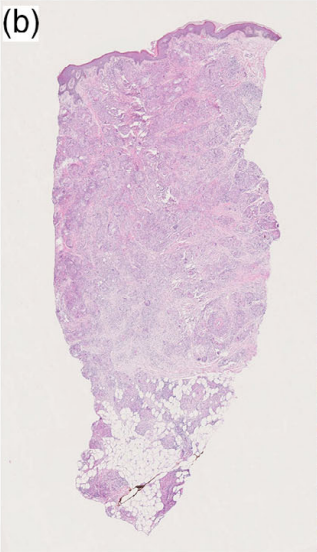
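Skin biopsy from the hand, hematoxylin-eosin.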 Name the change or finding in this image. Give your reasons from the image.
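The dermis below the thin epidermis is filled with a dense, nodular pale infiltrate. The infiltrate extends down to the fat lobules at the base of the biopsy.
Hence: dermal and subcutaneous granulomatous inflammation.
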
